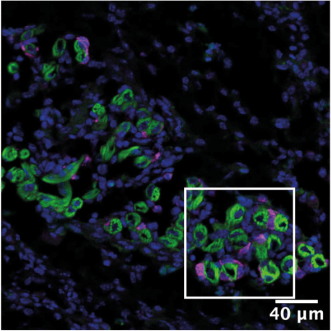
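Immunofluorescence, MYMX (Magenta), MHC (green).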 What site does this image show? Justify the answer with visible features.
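The green fibres appear as small rings and round profiles. The fibres are seen in cross section, grouped in bundles.
Conclusion: transversal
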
